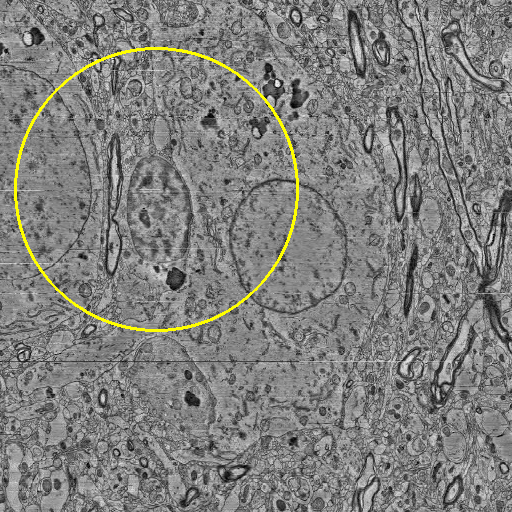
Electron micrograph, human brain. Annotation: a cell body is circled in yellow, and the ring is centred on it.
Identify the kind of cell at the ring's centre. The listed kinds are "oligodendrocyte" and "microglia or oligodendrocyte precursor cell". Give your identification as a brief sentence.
The circled cell body is that of an oligodendrocyte.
